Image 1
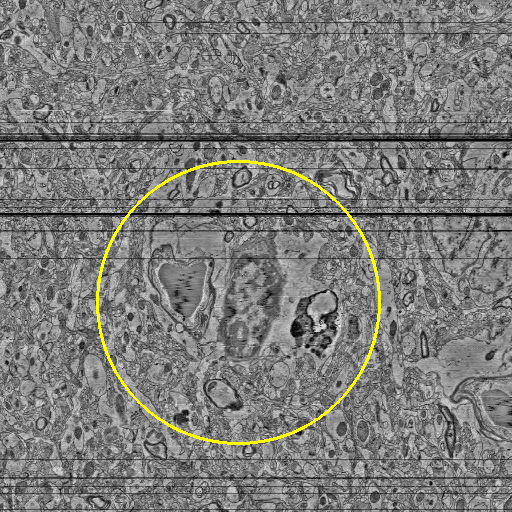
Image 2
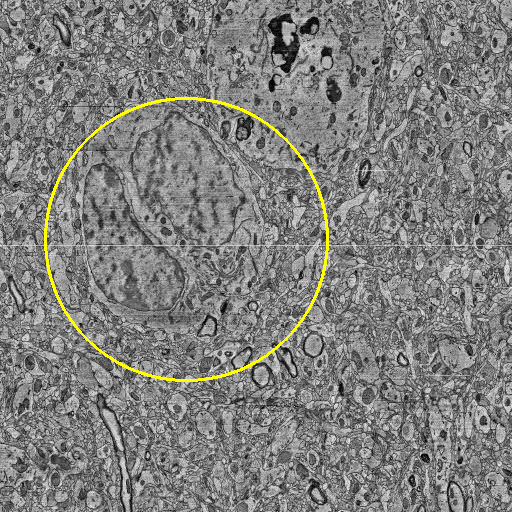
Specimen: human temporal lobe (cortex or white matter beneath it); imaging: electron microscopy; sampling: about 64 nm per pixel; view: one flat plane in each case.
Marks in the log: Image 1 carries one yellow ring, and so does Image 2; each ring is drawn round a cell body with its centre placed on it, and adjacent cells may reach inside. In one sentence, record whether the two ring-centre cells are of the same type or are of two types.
The two cells at the ring centres, one in each image, are of two types.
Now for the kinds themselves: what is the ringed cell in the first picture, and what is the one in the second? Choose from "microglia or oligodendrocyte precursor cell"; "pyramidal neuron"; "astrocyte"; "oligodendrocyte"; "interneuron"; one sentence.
Here the first cell is an oligodendrocyte and the second cell is an interneuron.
